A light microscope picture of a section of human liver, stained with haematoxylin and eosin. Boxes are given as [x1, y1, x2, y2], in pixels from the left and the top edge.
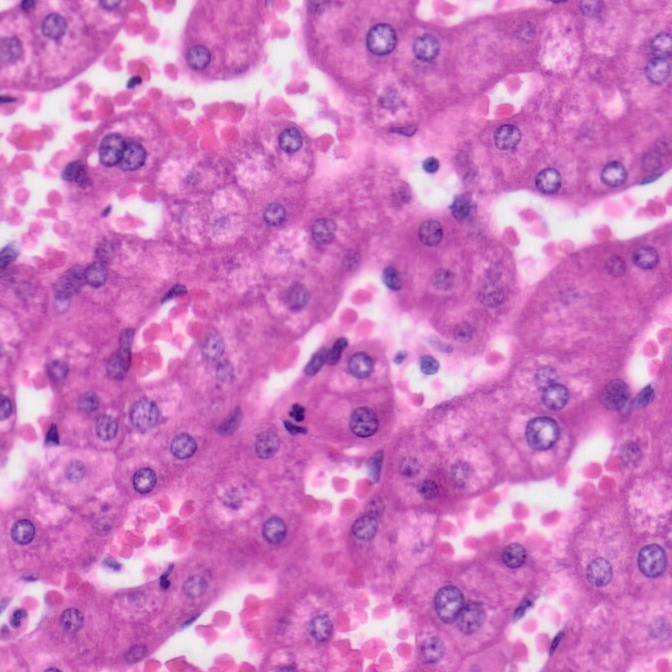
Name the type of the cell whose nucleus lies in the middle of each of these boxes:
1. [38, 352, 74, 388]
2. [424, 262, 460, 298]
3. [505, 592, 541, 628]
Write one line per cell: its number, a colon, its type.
1: hepatocyte
2: hepatocyte
3: endothelial cell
